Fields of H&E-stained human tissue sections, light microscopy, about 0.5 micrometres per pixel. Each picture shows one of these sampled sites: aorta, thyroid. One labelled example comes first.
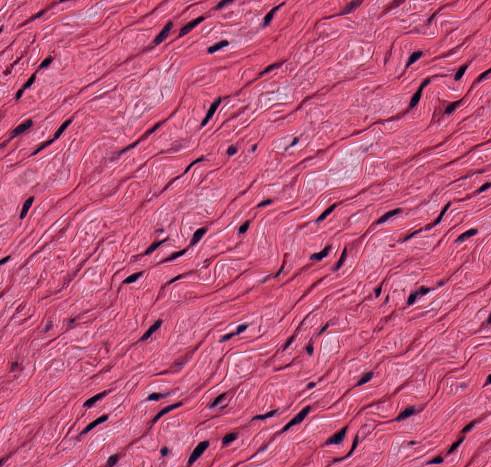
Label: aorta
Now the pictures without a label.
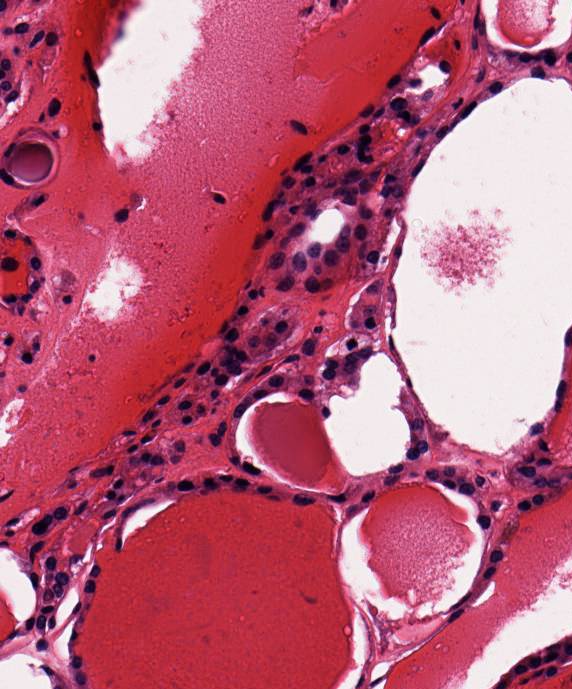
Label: thyroid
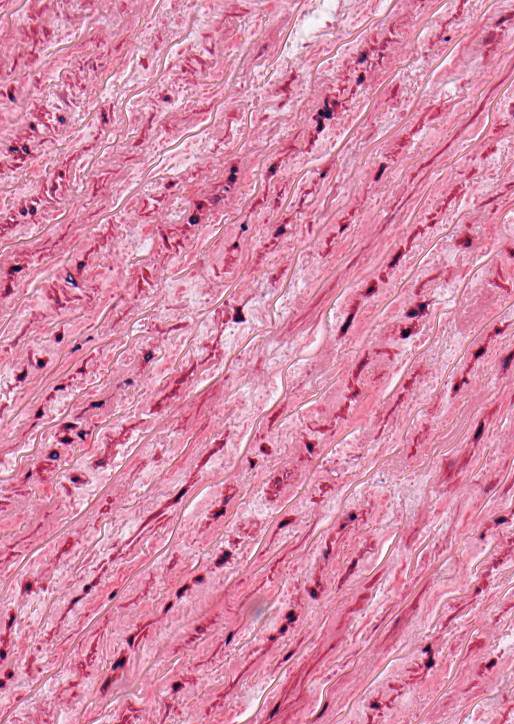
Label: aorta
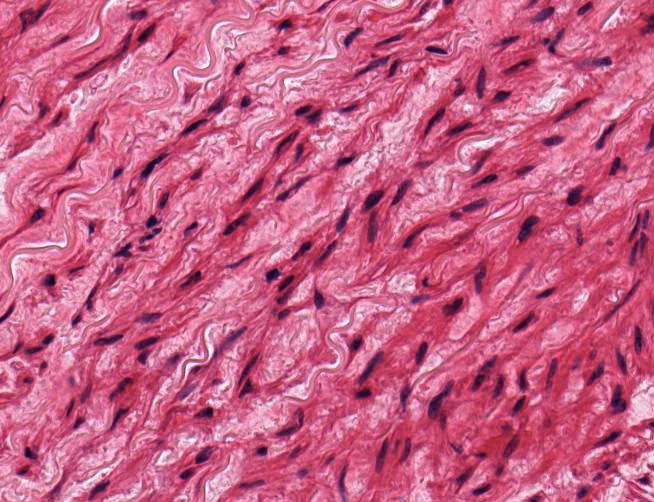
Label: aorta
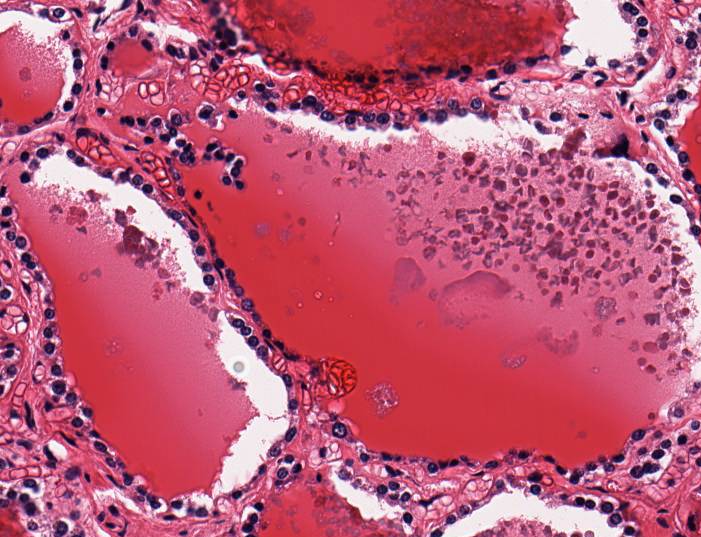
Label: thyroid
